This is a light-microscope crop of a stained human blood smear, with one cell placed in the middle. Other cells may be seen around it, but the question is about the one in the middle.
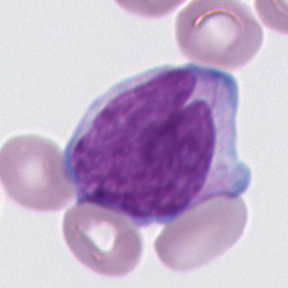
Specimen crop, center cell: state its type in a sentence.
This crop has an atypical promyelocyte at its centre.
